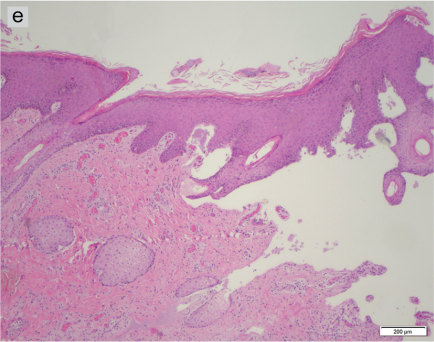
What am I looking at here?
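At low magnification this section of skin shows the epidermis as a purple band along the top and the pale pink dermis below. The epidermis is lifted away from the dermis by a wide, empty cleft, so that its lower surface with its downward ridges hangs free. Fragments of tissue float in the gap. The dermis contains rounded structures cut in cross-section, likely adnexa such as hair follicles, set in pink collagen. There are few dense collections of cells in the dermis, so inflammation is slight.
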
